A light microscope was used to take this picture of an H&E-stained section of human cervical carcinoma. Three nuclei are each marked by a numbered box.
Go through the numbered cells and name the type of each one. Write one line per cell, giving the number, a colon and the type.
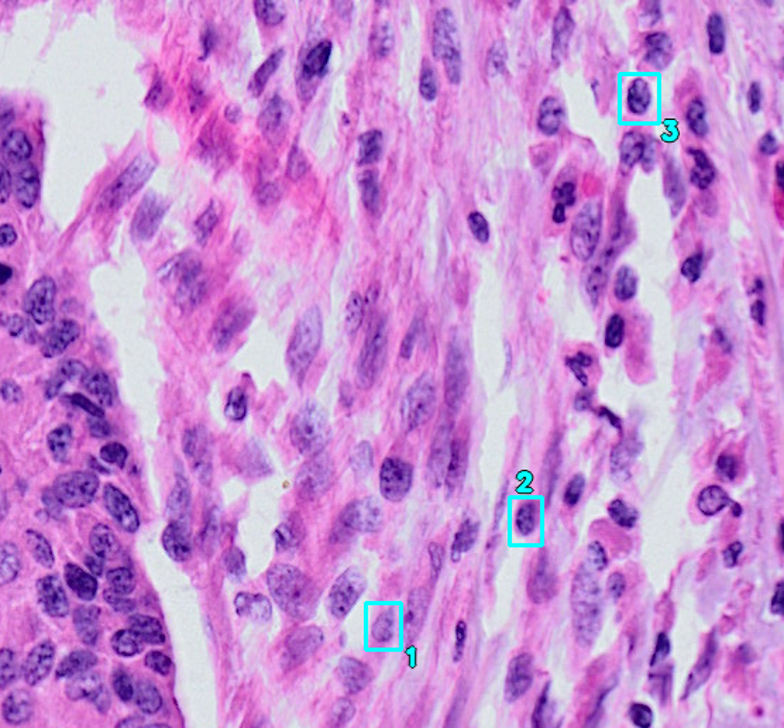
1: fibroblast
2: lymphocyte
3: lymphocyte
